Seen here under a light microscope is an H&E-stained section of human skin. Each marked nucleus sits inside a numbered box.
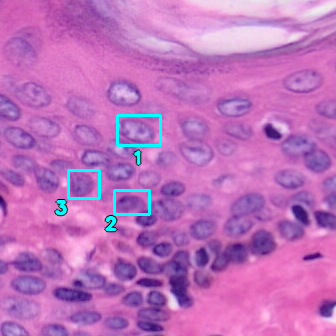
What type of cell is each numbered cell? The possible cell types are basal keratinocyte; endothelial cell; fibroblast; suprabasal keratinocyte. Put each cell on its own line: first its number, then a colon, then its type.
1: suprabasal keratinocyte
2: basal keratinocyte
3: basal keratinocyte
